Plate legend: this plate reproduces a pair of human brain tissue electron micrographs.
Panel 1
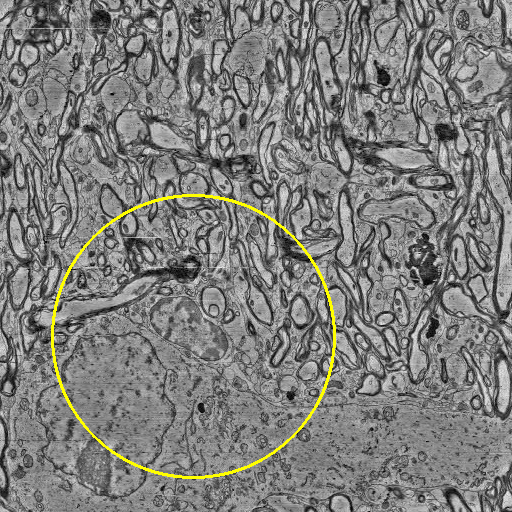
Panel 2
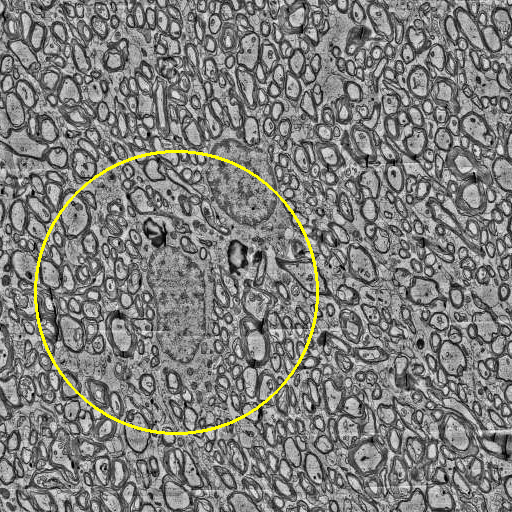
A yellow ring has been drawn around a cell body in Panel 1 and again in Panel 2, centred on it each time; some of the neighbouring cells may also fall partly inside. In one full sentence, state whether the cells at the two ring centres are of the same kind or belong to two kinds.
The ring-centred cells of Panel 1 and Panel 2 belong to two kinds.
